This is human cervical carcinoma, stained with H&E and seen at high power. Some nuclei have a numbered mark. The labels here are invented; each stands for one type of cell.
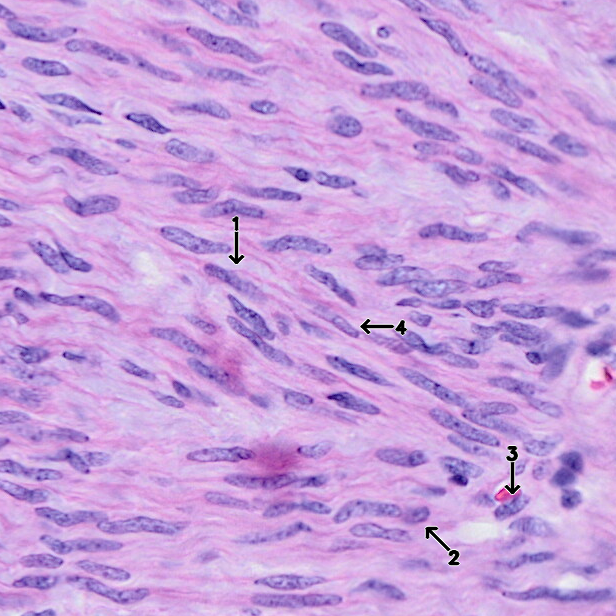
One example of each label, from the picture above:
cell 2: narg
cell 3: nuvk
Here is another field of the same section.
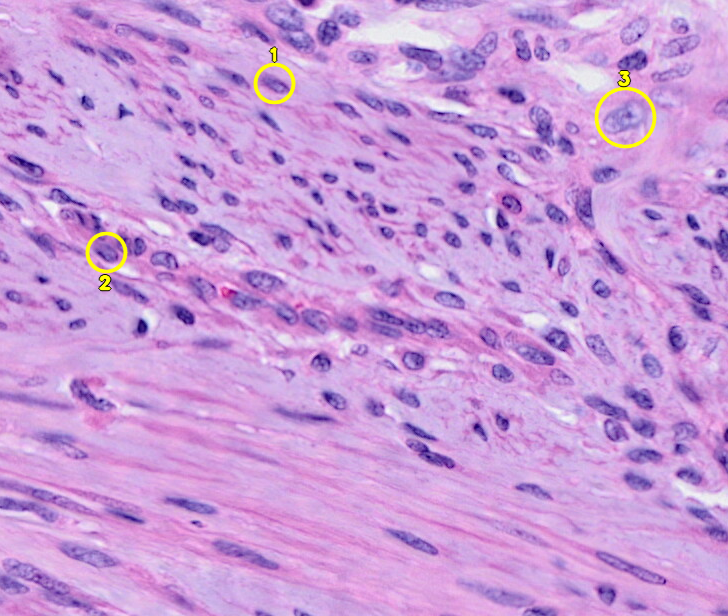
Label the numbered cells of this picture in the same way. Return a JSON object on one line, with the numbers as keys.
{"1": "narg", "2": "nuvk", "3": "nuvk"}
